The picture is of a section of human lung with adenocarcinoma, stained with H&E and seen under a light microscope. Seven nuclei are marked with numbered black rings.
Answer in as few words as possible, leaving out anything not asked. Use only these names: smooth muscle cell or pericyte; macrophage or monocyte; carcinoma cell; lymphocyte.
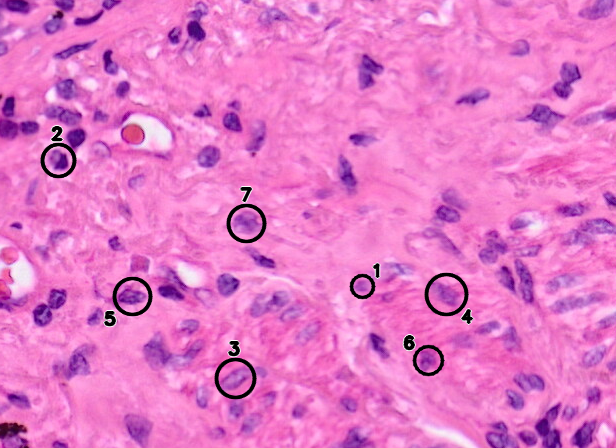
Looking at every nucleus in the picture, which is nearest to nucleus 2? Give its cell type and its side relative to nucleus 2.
a lymphocyte above and to the right of nucleus 2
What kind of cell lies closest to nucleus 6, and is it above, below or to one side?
a smooth muscle cell or pericyte above and to the right of nucleus 6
